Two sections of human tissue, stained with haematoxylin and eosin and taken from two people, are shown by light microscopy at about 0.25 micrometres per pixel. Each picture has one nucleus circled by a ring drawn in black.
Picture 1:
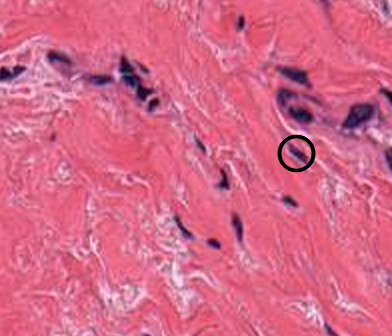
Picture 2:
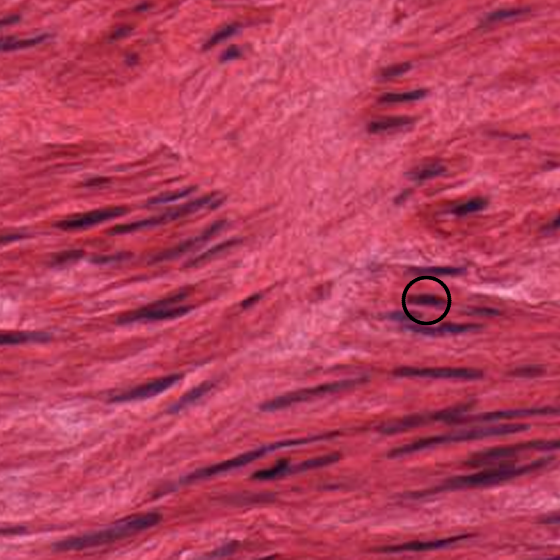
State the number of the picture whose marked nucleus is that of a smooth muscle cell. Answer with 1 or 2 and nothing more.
2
